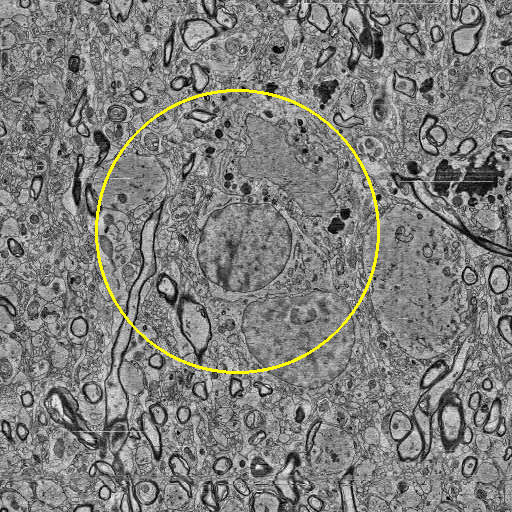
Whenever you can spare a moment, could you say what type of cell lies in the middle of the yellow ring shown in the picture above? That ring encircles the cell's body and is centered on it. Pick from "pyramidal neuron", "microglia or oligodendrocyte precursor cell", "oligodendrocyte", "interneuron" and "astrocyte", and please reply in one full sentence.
The cell whose body sits at the middle of the yellow ring is a microglial cell or oligodendrocyte precursor cell.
